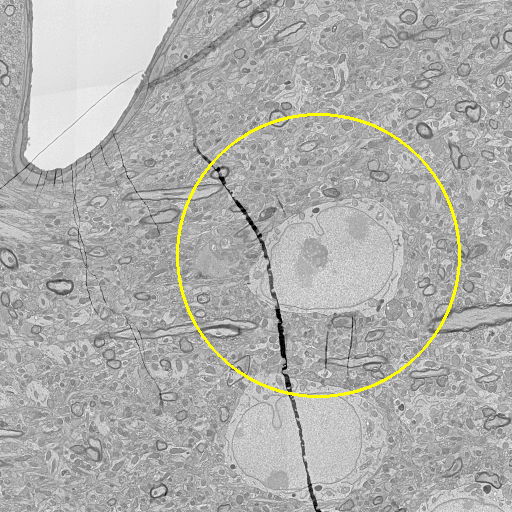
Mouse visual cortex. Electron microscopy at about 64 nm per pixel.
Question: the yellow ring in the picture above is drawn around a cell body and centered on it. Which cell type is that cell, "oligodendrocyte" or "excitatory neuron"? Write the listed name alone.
excitatory neuron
